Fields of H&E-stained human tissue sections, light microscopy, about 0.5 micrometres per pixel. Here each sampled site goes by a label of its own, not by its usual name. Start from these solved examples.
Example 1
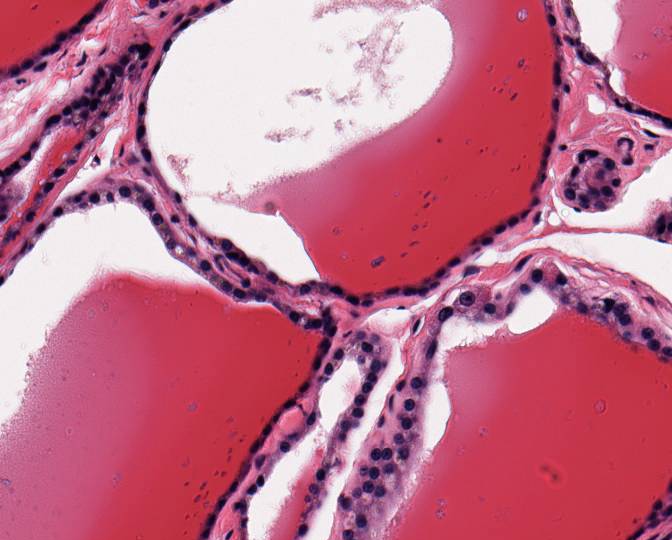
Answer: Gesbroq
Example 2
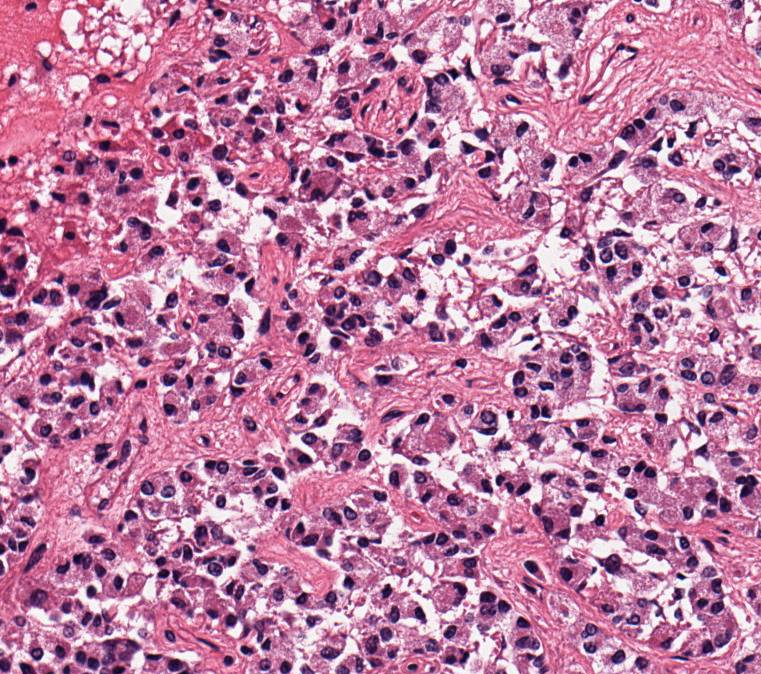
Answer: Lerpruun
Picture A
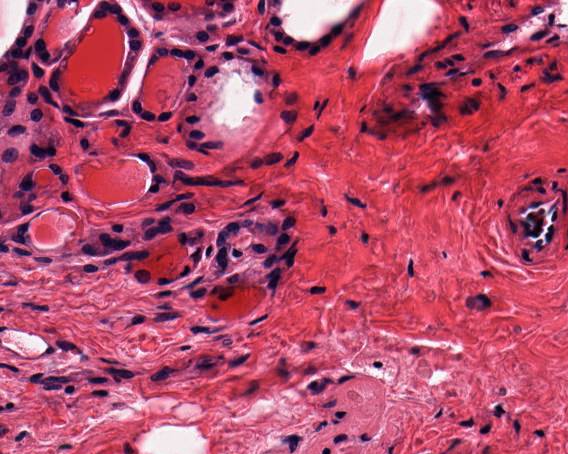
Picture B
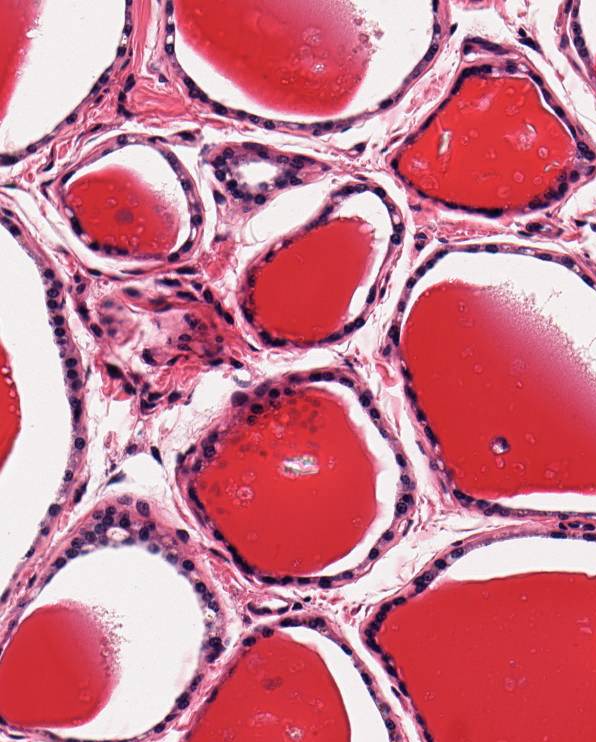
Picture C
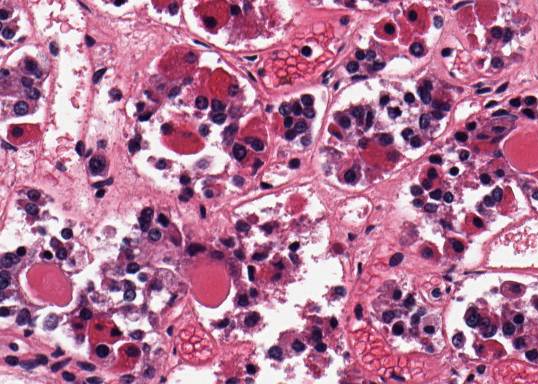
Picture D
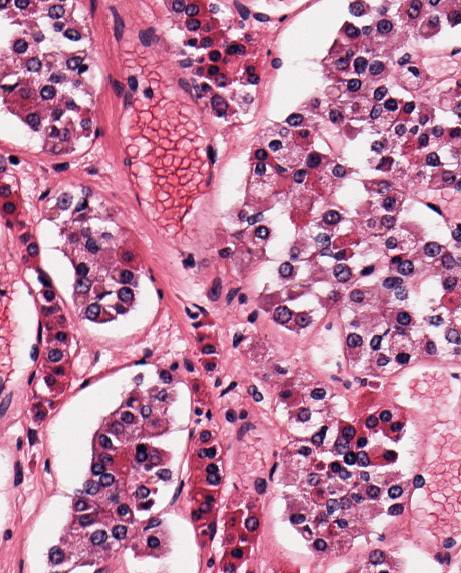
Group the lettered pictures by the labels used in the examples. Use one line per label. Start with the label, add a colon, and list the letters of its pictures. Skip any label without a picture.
Gesbroq: A, B
Lerpruun: C, D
